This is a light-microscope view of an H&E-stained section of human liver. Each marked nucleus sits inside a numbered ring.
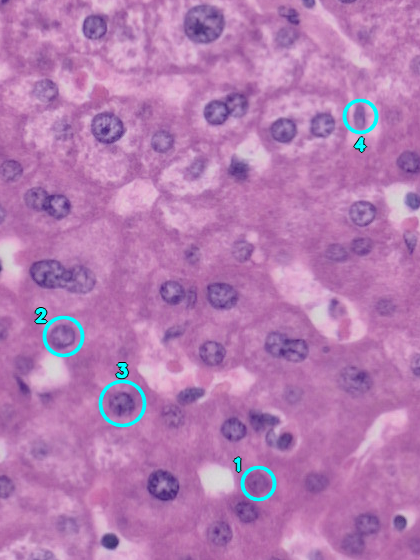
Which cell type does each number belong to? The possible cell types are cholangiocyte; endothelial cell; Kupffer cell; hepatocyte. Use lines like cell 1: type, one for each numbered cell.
cell 1: hepatocyte
cell 2: hepatocyte
cell 3: hepatocyte
cell 4: Kupffer cell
